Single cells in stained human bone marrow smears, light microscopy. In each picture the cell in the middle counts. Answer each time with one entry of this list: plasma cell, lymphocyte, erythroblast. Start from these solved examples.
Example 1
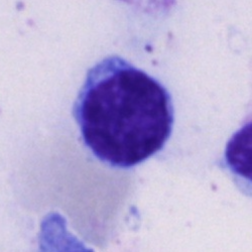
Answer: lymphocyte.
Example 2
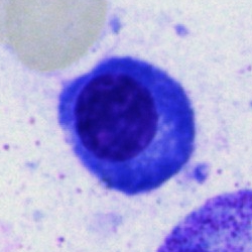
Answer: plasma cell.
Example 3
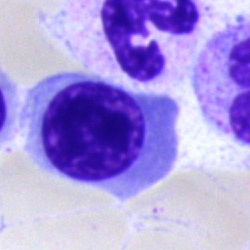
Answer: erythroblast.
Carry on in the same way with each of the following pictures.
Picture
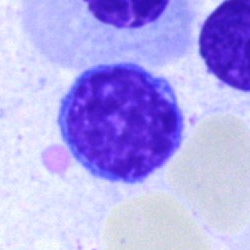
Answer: lymphocyte.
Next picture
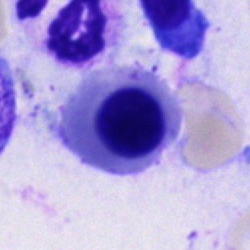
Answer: erythroblast.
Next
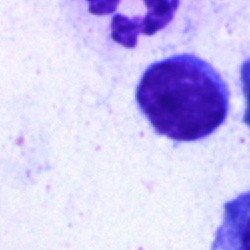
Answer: lymphocyte.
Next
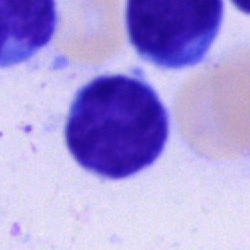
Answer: lymphocyte.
